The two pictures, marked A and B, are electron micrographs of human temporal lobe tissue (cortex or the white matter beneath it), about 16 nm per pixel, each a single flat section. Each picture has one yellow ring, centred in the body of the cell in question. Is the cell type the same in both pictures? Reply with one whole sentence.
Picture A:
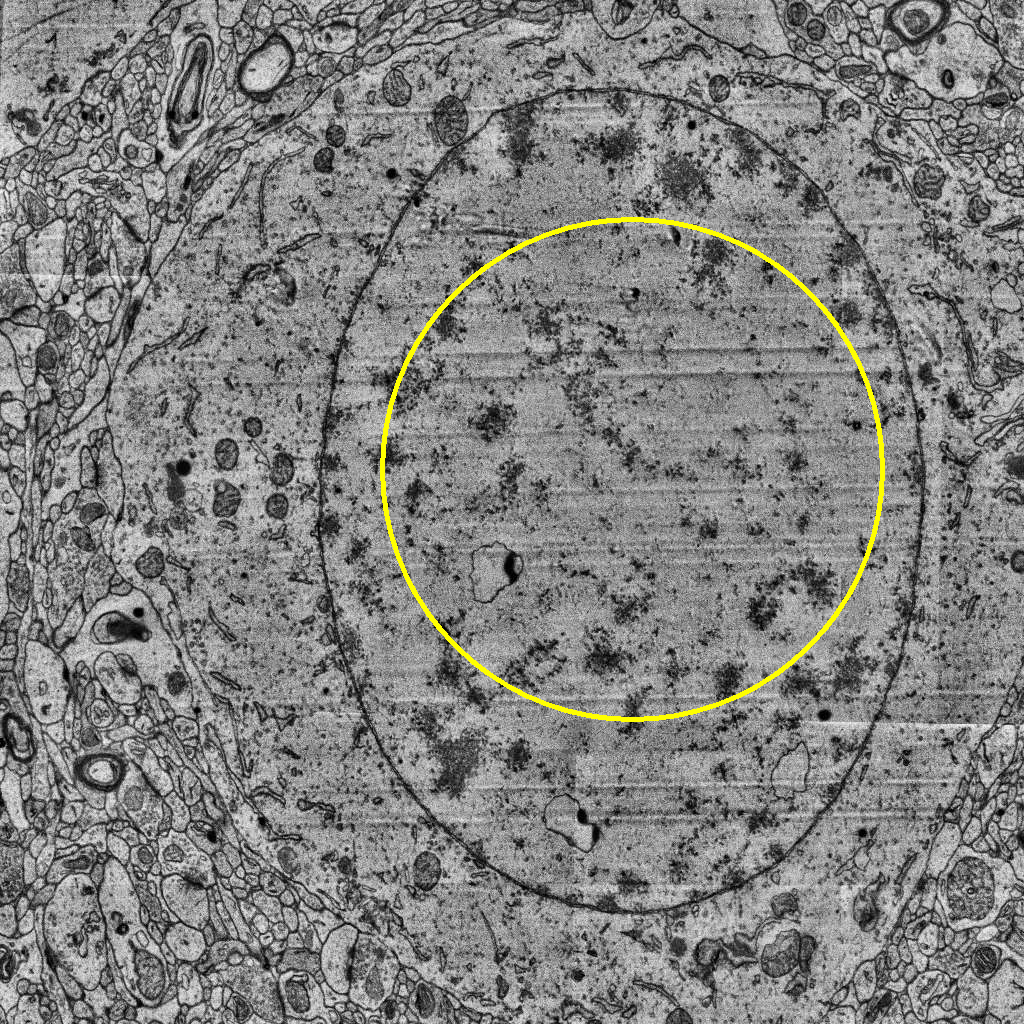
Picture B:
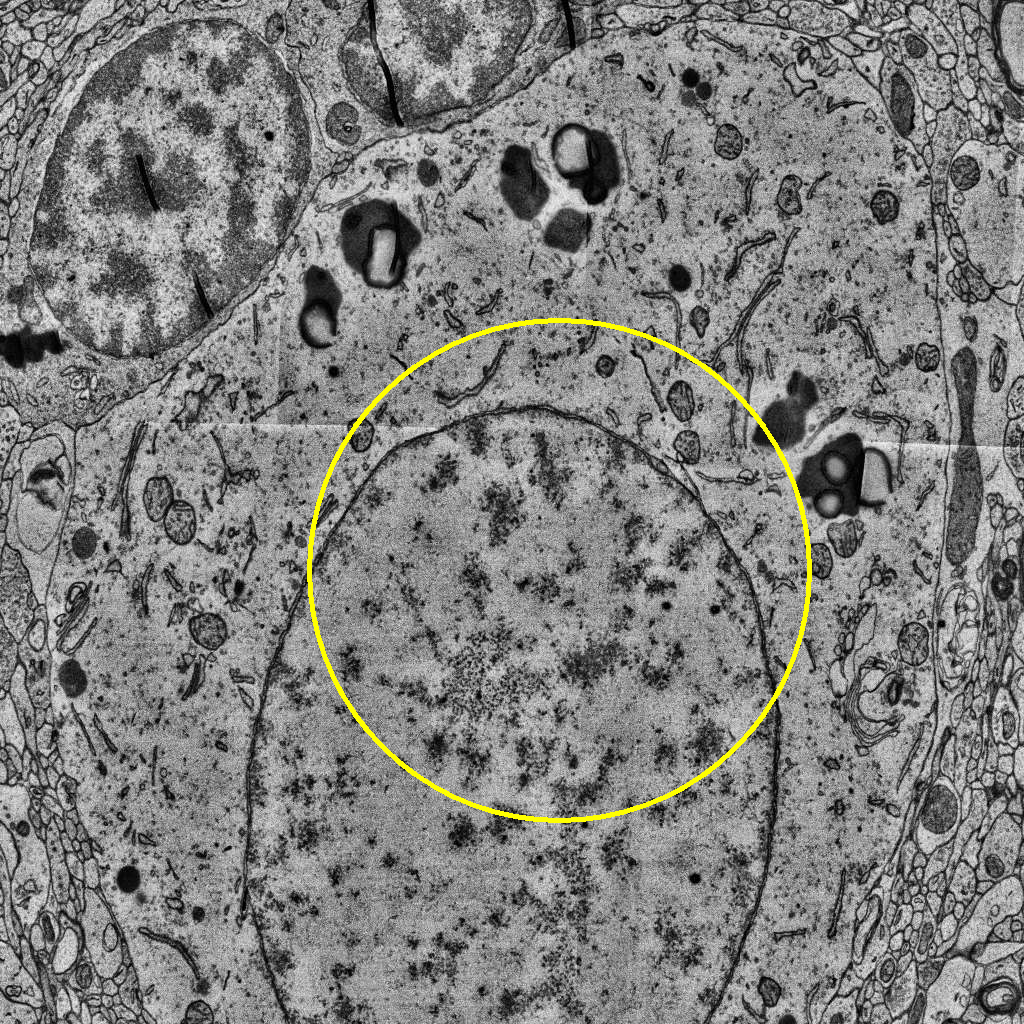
Yes, the two pictures both show pyramidal neurons.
